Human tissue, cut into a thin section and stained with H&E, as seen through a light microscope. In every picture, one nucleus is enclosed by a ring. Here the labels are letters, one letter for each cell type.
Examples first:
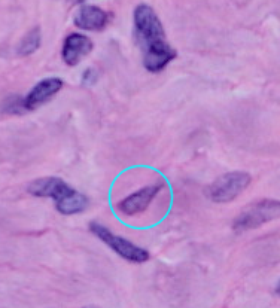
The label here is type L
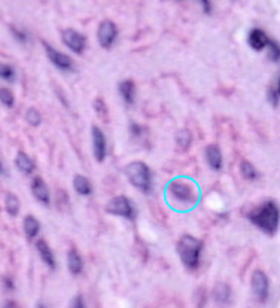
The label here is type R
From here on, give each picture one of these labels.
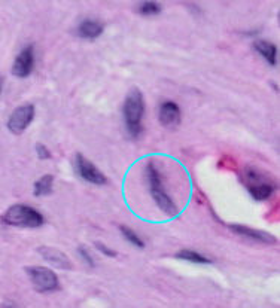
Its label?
type L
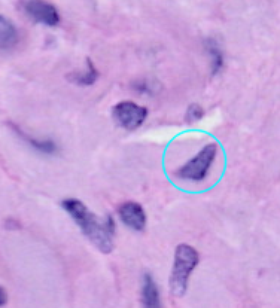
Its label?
type L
